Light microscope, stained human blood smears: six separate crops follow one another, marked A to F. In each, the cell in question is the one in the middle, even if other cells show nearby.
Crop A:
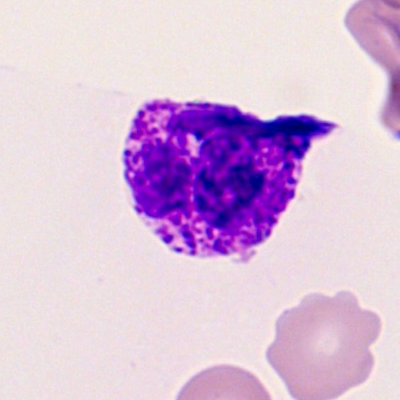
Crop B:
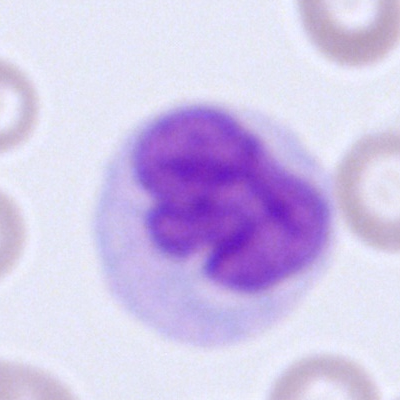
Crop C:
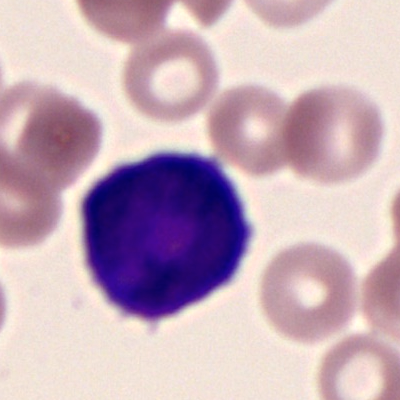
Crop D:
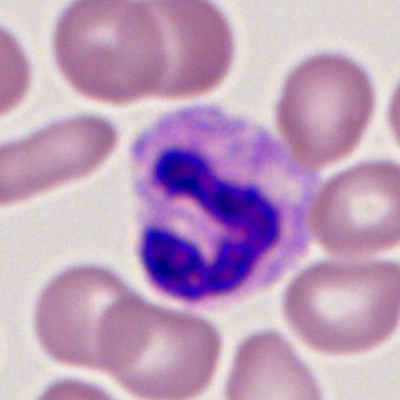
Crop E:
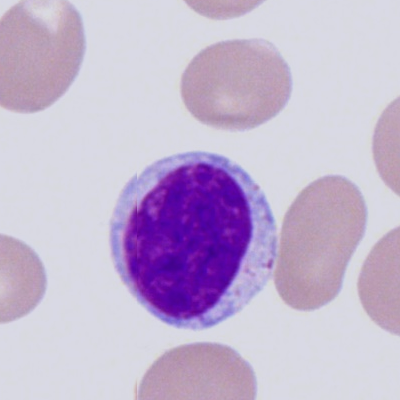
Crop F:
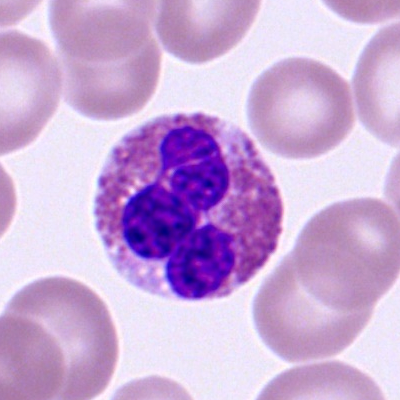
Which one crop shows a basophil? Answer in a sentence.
It is crop A that shows a basophil.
